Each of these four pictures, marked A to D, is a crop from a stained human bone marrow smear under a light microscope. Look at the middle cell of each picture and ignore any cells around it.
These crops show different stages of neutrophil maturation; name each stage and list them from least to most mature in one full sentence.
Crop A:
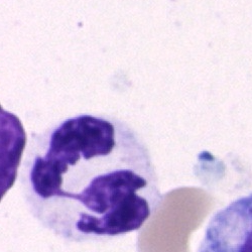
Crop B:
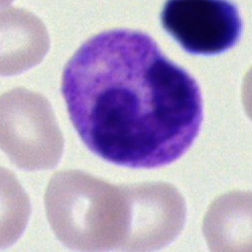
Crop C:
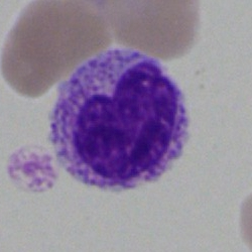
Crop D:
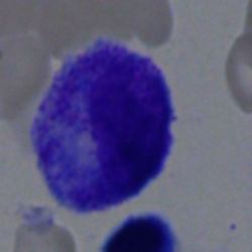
Sequenced by maturity, least first, the crops are crop D (a myelocyte), crop C (a metamyelocyte), crop B (a band neutrophil) and crop A (a segmented neutrophil).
